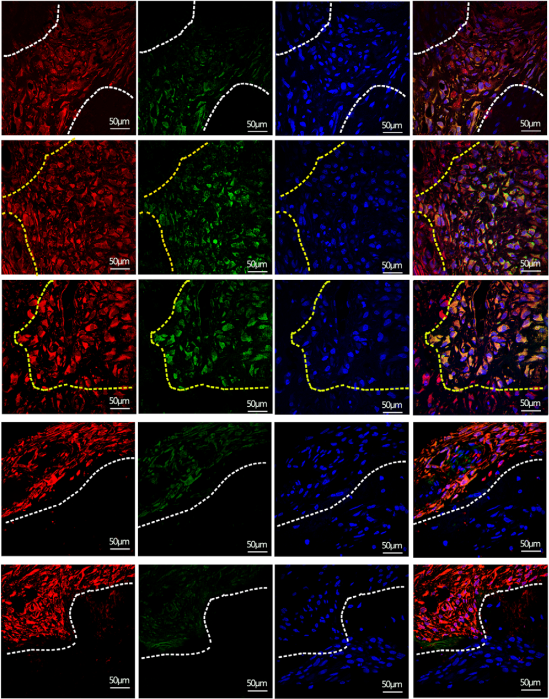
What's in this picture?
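The cells are elongated and spindle-shaped, packed closely and in places aligned in streams. Blue nuclei are oval and sit singly within the cells. Red granular and filamentous fluorescence fills the cytoplasm of many cells, and green fluorescence fills the cell bodies in some fields. Dashed lines divide each field into an area crowded with labelled cells and an area where labelling is sparse or absent.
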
